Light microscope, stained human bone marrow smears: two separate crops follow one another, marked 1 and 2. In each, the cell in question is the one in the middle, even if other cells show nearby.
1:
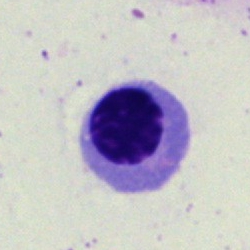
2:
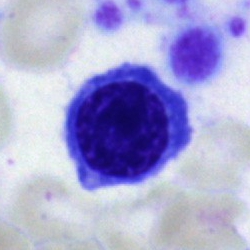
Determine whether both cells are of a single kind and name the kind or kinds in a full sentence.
Yes, erythroblasts occupy the centre of both crops.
